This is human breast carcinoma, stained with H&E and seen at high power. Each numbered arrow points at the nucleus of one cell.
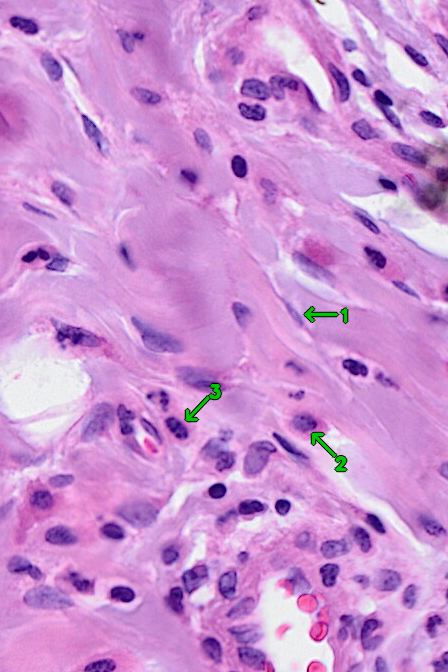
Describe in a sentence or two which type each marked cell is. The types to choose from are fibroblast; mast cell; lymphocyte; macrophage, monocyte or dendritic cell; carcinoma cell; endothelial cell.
Cell 1 is a fibroblast, cell 2 is a mast cell and cell 3 is a mast cell.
